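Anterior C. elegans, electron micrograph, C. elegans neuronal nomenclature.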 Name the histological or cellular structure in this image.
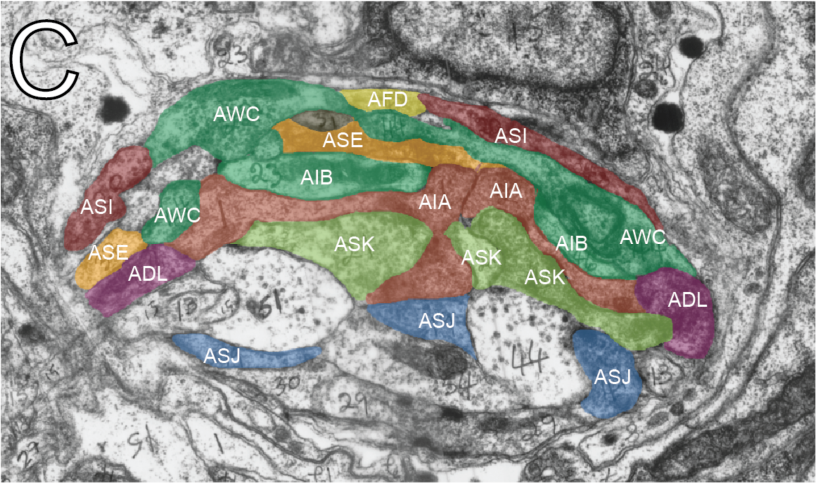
Dorsal nerve ring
